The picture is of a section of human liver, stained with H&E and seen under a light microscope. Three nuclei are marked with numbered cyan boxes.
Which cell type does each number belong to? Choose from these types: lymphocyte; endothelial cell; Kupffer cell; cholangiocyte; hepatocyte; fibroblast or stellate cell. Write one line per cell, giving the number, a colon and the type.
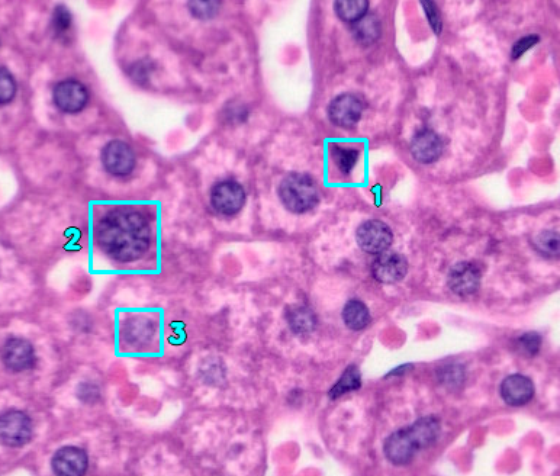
1: fibroblast or stellate cell
2: hepatocyte
3: hepatocyte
